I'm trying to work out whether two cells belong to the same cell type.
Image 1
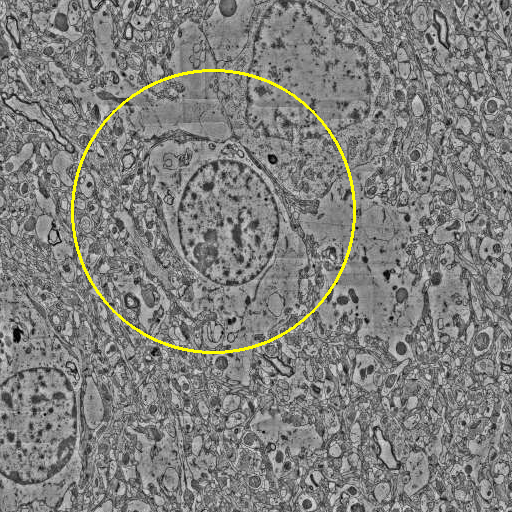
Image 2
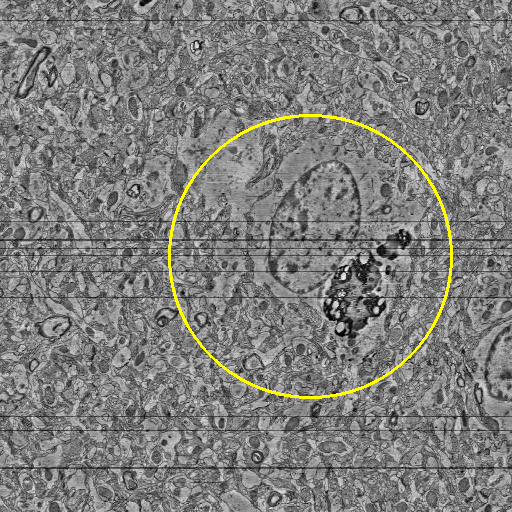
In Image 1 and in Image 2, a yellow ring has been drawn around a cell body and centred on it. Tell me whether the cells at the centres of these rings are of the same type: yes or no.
yes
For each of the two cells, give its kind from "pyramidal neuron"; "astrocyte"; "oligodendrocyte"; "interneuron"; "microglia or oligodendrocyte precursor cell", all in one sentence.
The second cell is an astrocyte, just as the first is.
